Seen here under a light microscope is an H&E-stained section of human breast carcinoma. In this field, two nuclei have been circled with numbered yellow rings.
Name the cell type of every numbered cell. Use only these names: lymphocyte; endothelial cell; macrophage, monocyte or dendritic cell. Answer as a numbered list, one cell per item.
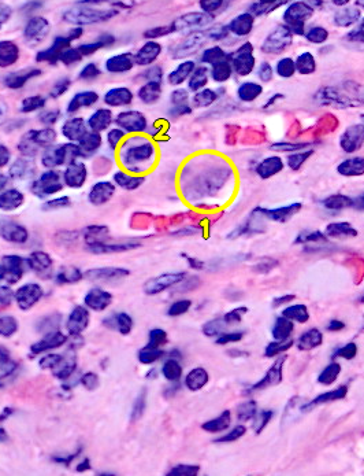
1. endothelial cell
2. lymphocyte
